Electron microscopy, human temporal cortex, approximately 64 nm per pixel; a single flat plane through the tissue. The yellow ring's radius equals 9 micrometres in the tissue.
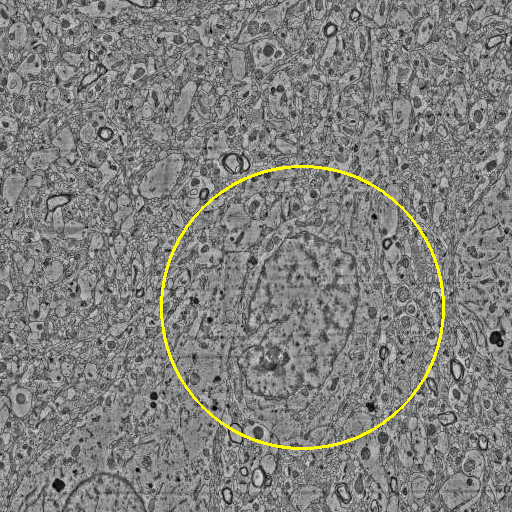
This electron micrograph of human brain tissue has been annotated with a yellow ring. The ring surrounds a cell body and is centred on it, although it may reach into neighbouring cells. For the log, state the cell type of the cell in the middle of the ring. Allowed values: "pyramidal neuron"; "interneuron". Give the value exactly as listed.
interneuron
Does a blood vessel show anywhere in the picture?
No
